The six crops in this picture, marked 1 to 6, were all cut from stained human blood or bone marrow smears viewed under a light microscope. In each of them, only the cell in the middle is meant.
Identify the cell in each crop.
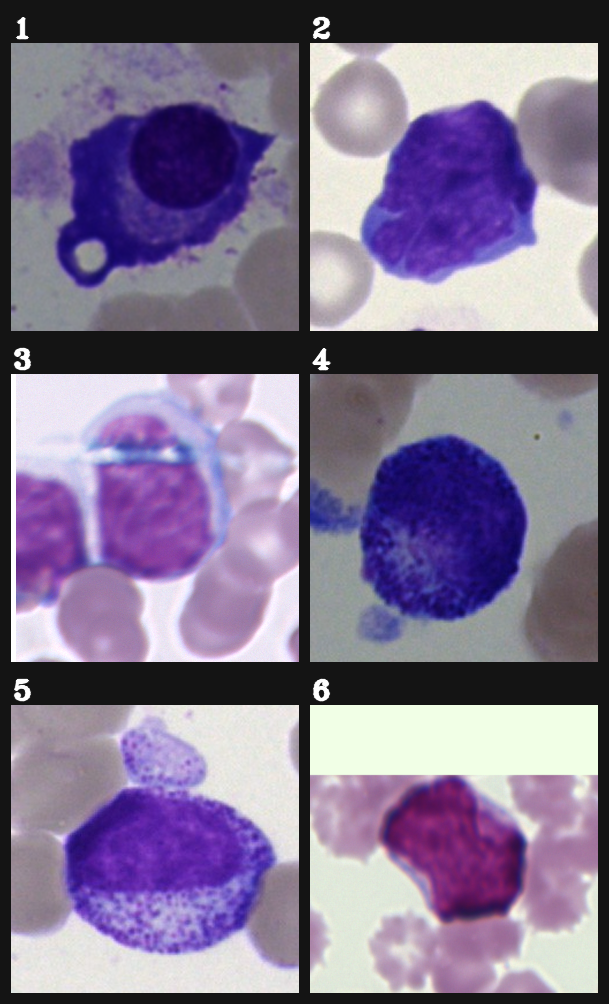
1: plasma cell
2: blast
3: blast
4: myelocyte
5: myelocyte
6: blast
